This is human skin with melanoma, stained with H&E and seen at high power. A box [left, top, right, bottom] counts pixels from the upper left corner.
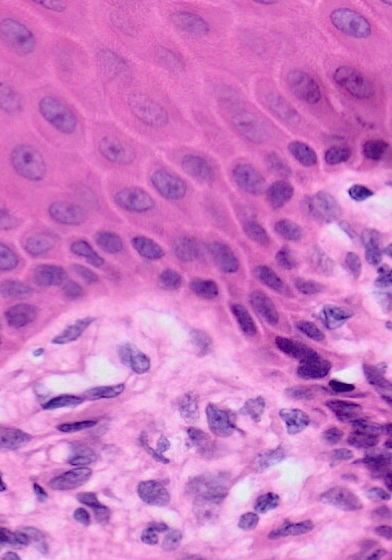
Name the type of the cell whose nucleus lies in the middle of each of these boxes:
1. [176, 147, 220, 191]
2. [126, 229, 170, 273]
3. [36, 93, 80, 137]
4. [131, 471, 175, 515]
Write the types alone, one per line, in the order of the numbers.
keratinocyte
keratinocyte
keratinocyte
fibroblast or myofibroblast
